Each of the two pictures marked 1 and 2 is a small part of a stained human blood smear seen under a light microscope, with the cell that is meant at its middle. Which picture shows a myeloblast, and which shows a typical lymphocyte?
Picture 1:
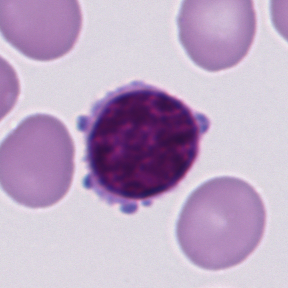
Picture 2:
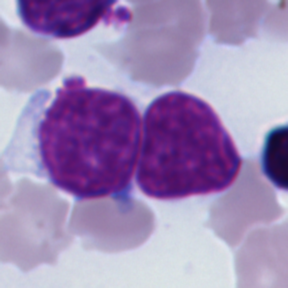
1: typical lymphocyte
2: myeloblast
